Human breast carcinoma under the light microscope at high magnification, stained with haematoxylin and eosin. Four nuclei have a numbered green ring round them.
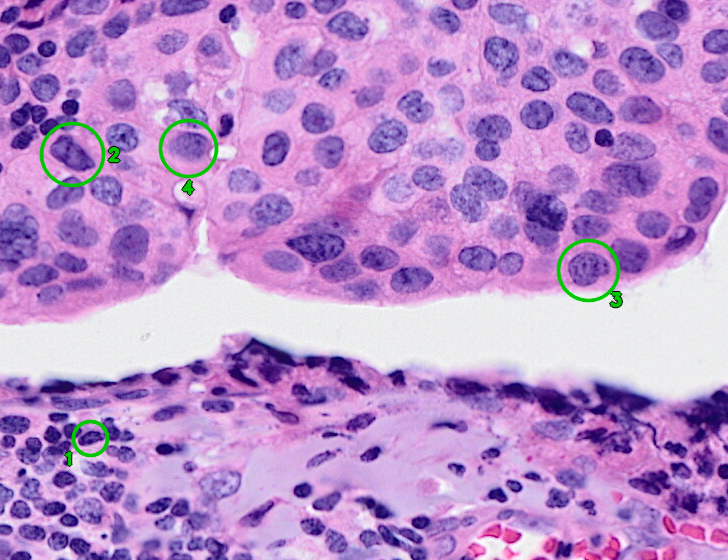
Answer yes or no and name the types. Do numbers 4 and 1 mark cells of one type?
No, the identities are a carcinoma cell for cell 4 and a lymphocyte for cell 1.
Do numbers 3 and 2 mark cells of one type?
Yes, cells 3 and 2 are both identified as carcinoma cells.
